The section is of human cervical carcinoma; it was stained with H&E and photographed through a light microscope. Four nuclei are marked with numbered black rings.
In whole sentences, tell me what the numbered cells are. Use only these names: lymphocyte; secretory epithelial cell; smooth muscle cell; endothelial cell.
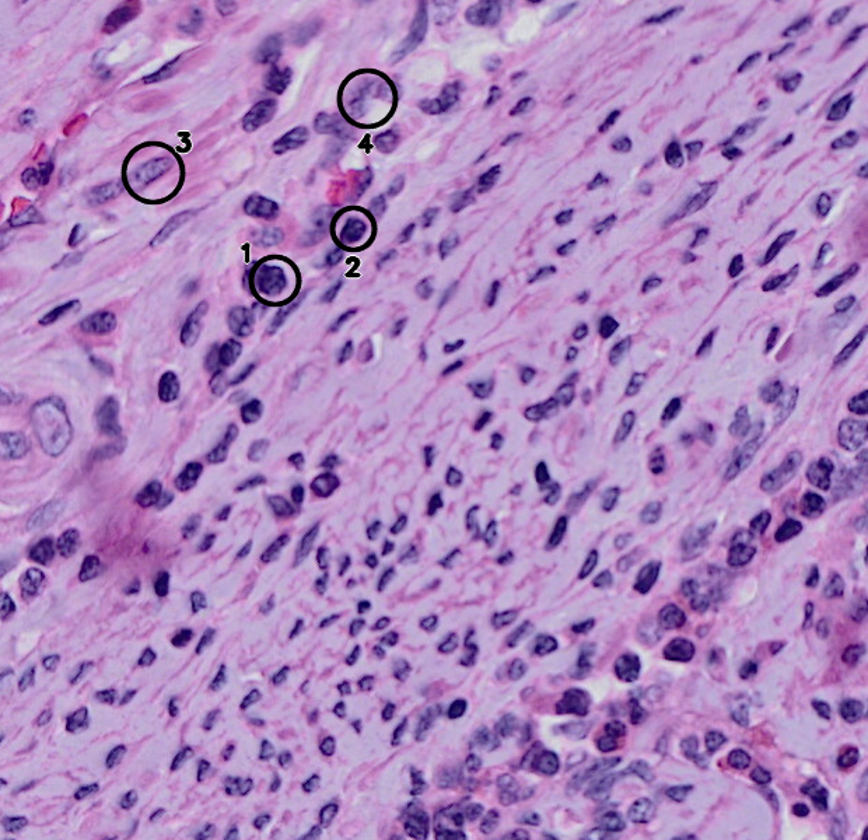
Cell 1 is a lymphocyte, cell 2 is a lymphocyte, cell 3 is a smooth muscle cell and cell 4 is an endothelial cell.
